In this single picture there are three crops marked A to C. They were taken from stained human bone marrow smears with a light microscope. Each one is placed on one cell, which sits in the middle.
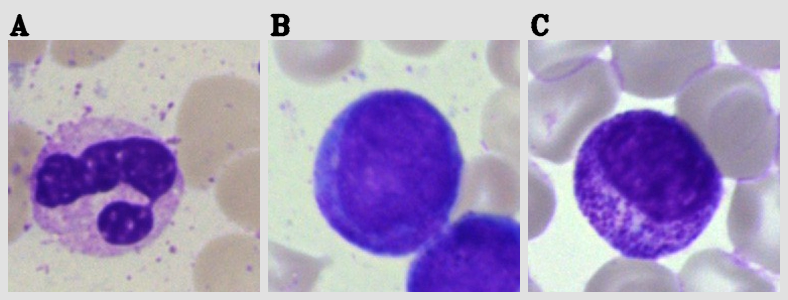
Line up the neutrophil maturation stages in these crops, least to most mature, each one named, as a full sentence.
The order of maturity, beginning with the least mature, is crop B (a promyelocyte), crop C (a myelocyte) and crop A (a segmented neutrophil).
